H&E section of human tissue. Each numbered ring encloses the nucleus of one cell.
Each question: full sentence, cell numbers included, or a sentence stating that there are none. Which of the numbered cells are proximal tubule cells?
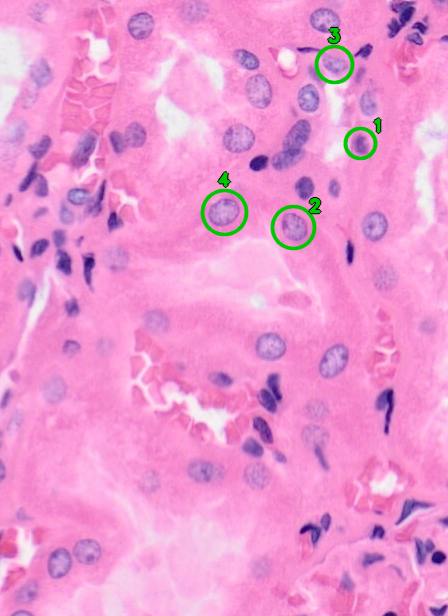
To be specific, the cells numbered 2 and 4 are proximal tubule cells.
